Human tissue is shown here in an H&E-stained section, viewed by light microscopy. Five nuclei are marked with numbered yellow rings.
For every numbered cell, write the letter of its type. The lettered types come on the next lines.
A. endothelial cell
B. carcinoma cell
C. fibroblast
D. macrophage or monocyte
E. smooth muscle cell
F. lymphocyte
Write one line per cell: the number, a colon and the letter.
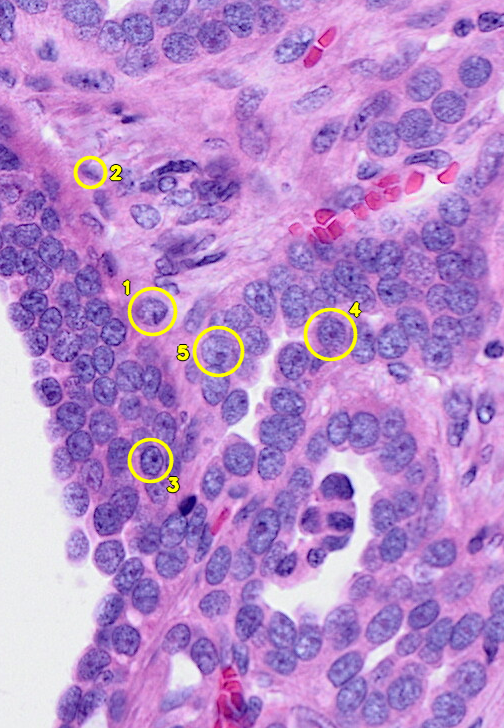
1: C
2: C
3: B
4: B
5: B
